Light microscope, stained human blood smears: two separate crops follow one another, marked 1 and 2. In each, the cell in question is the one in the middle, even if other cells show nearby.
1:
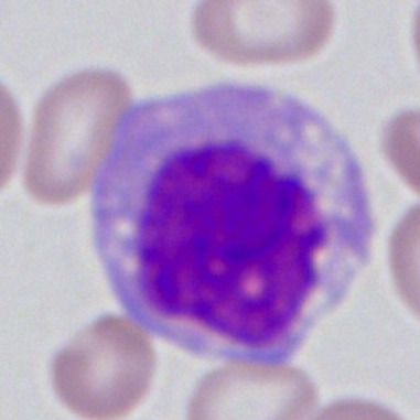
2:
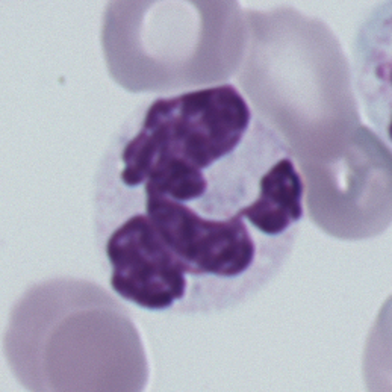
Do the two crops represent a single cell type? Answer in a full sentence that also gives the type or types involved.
No, crop 1 is where a monocyte is, and crop 2 is where a segmented neutrophil is.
